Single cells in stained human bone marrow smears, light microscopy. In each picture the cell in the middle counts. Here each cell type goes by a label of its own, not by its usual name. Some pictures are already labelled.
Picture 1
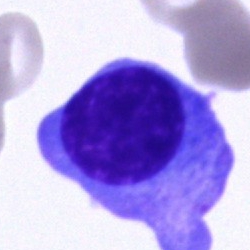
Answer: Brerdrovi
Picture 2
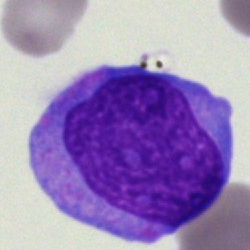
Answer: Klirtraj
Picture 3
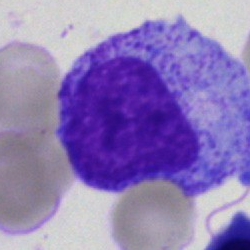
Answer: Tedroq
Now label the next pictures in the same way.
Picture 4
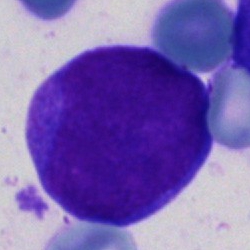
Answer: Klirtraj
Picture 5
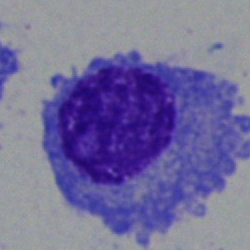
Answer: Brerdrovi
